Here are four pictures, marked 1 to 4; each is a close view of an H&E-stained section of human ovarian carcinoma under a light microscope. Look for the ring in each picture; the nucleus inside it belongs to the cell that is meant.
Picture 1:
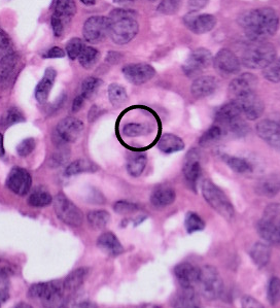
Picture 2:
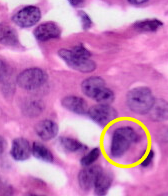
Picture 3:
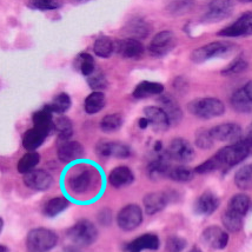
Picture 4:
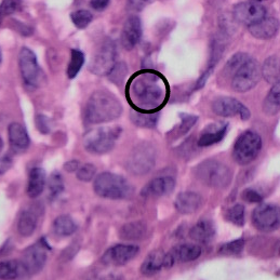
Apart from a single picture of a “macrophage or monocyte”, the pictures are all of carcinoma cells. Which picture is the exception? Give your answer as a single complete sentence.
The cell in picture 1 is the “macrophage or monocyte”.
